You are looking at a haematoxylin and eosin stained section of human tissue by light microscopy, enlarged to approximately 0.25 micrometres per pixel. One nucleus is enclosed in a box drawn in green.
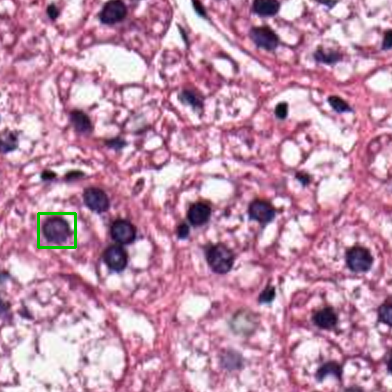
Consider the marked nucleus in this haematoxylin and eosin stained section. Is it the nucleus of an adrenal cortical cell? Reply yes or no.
yes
